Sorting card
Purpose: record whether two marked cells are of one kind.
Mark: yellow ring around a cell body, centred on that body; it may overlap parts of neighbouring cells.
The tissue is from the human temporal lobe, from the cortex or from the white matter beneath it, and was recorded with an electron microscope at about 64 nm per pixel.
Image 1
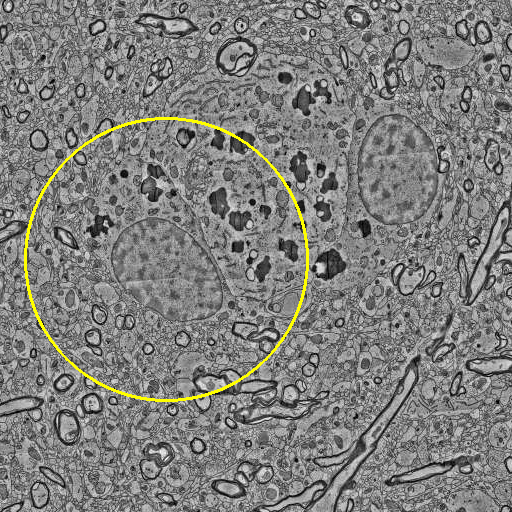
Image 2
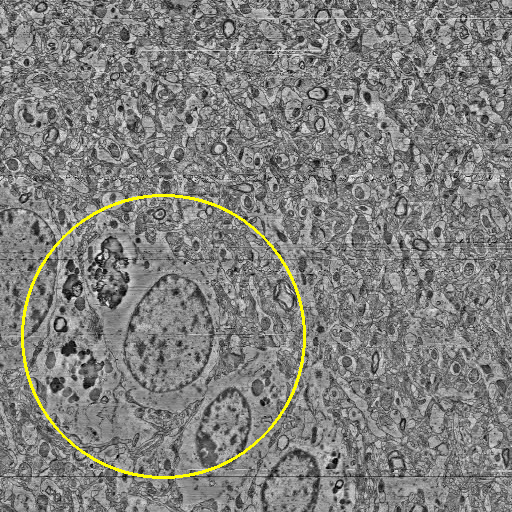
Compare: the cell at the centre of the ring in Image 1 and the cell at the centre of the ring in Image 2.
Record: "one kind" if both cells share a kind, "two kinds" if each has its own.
two kinds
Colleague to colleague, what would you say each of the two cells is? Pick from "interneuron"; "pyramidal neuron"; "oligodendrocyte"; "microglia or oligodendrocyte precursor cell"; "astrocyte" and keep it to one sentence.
The cell in the first picture is an oligodendrocyte; the second picture's cell is an astrocyte.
